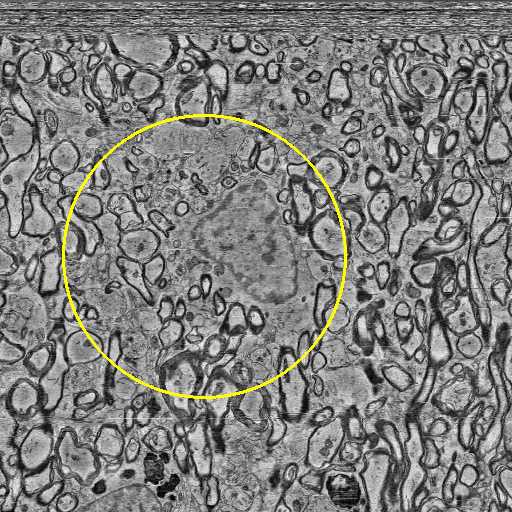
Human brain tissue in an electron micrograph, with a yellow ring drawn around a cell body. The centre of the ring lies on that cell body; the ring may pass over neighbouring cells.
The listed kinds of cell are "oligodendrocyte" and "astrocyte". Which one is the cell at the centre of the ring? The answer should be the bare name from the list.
oligodendrocyte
